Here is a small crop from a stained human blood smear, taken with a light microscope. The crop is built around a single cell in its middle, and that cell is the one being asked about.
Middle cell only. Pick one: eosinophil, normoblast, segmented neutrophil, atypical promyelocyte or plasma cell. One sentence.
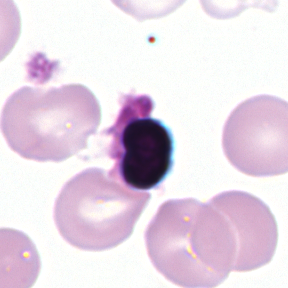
The cell that lies at the centre of the crop is a normoblast.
